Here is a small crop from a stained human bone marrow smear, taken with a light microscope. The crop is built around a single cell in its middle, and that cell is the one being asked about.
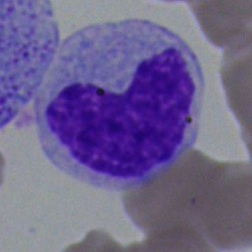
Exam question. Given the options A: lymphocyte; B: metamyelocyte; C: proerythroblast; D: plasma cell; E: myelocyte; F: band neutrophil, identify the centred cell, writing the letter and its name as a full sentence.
The best answer is option B, since the cell in the middle is a metamyelocyte.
